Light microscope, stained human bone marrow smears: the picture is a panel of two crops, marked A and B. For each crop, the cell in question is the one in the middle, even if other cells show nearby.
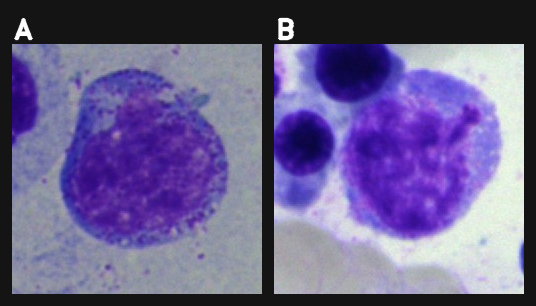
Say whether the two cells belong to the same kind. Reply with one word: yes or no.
no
